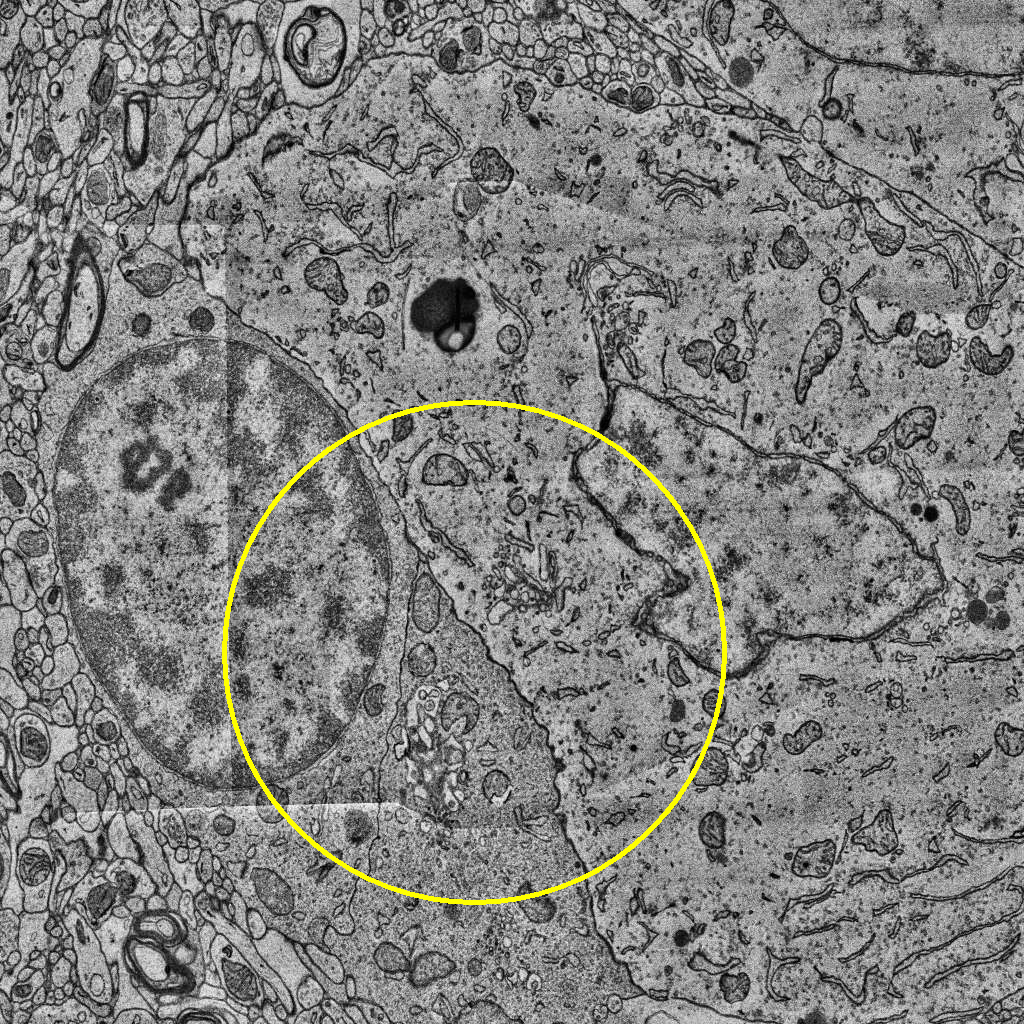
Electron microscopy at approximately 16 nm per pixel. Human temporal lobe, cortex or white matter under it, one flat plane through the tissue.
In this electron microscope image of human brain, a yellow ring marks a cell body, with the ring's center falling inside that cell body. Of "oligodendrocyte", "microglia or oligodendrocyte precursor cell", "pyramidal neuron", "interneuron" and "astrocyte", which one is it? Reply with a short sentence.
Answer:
It is an oligodendrocyte at the center of the ring.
